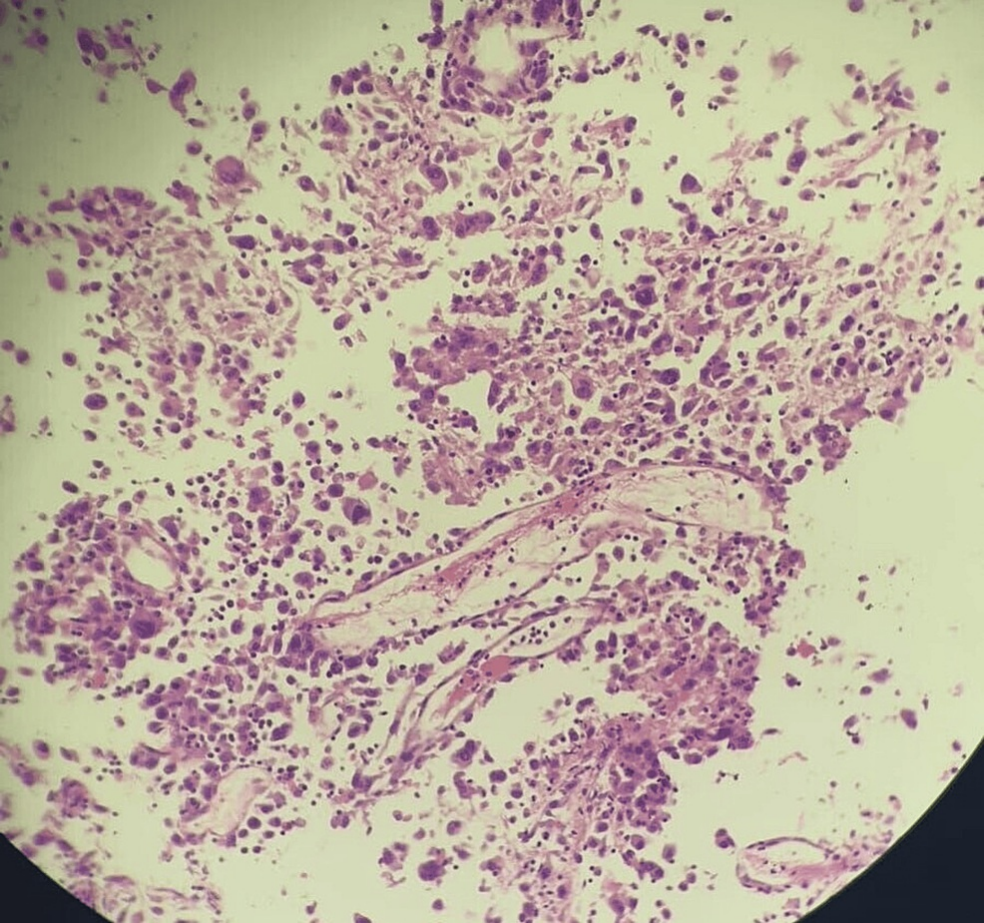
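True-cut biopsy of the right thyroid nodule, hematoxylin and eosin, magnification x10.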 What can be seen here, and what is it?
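The tumor cells gather around thin-walled blood vessels that run across the field, and small dark round nuclei of scattered inflammatory cells lie among them. Much of the tissue is fragmented and discohesive, with pale empty spaces between the cell groups.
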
